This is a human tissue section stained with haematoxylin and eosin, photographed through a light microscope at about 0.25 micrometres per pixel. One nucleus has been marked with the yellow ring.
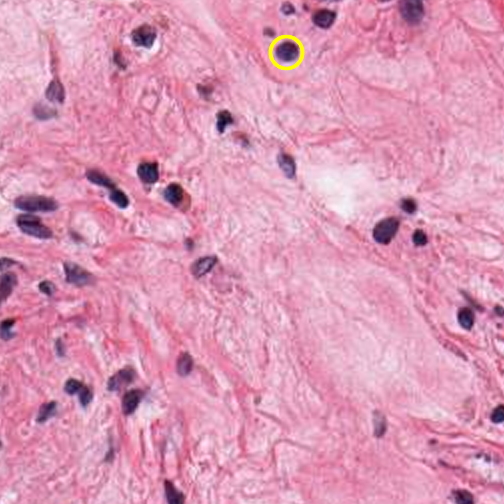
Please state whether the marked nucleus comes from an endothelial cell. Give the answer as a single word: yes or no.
no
